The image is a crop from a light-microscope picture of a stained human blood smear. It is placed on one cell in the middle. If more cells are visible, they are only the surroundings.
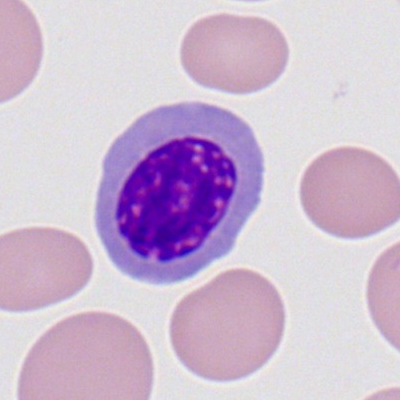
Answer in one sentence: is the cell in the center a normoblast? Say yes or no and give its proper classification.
Yes, the cell at the middle is a normoblast.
